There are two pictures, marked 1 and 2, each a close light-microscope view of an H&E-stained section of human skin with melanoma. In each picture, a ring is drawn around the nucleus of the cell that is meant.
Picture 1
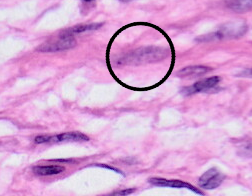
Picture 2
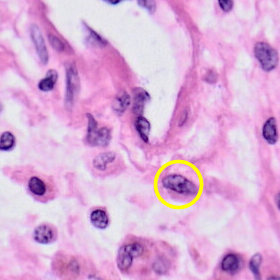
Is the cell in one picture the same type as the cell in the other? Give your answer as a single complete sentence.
No. Picture 1 shows a “fibroblast or myofibroblast”, but picture 2 shows a “macrophage or monocyte”.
